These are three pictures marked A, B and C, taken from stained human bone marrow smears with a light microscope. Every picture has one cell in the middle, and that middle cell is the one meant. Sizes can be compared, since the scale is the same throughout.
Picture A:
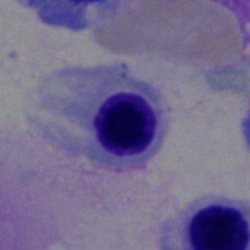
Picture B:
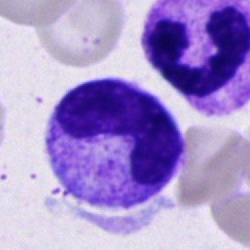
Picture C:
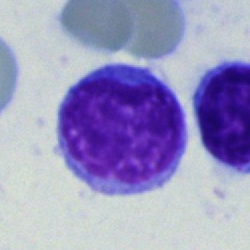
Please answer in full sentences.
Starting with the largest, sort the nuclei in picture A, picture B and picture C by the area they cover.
Largest first: C, B, A.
